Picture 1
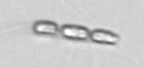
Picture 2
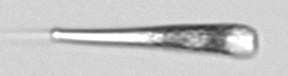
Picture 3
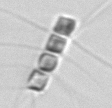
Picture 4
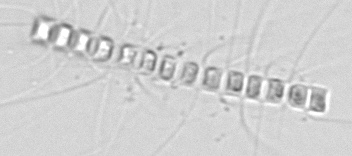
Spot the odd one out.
Picture 2 (Licmophora among Chaetoceros).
